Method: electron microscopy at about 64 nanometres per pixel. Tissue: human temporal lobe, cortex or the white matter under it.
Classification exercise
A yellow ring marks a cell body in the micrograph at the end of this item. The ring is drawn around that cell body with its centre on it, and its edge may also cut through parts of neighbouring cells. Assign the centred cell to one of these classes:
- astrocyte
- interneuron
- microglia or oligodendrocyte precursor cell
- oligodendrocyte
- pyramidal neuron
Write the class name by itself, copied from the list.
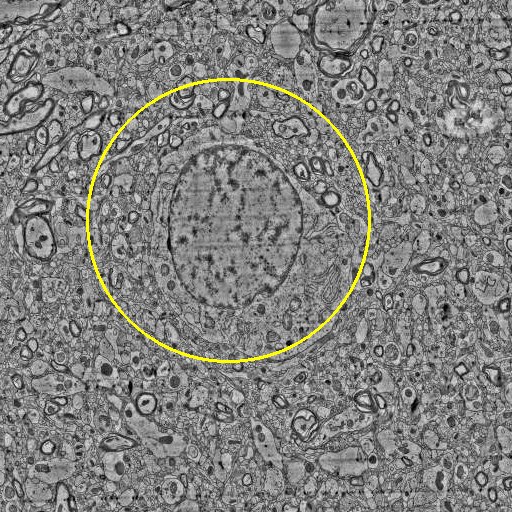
interneuron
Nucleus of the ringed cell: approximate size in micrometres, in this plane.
Roughly 10 by 9 micrometres in this plane, for the nucleus of the ringed cell.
